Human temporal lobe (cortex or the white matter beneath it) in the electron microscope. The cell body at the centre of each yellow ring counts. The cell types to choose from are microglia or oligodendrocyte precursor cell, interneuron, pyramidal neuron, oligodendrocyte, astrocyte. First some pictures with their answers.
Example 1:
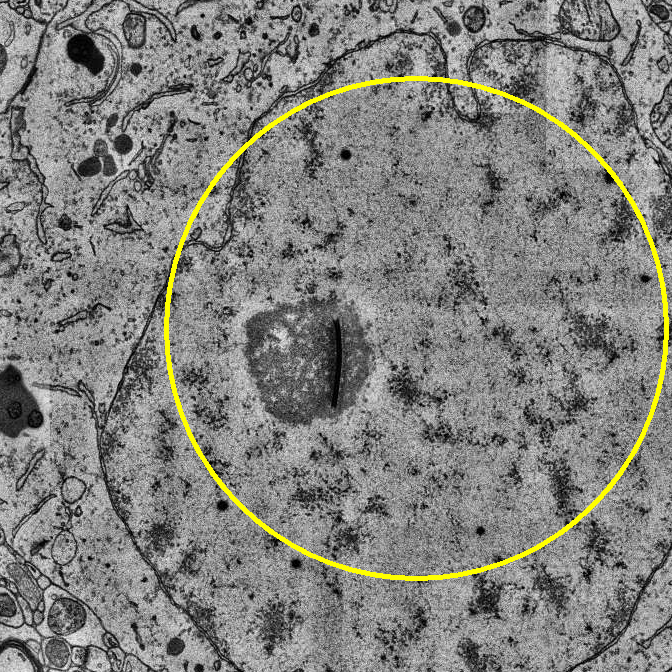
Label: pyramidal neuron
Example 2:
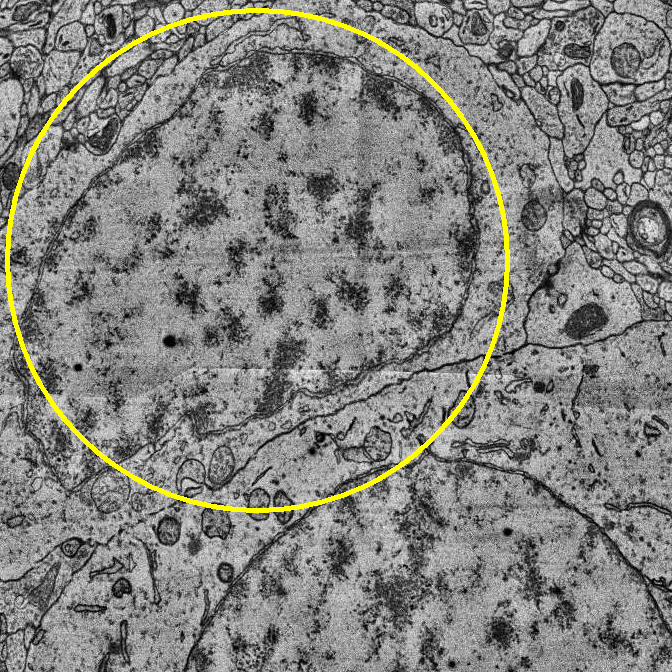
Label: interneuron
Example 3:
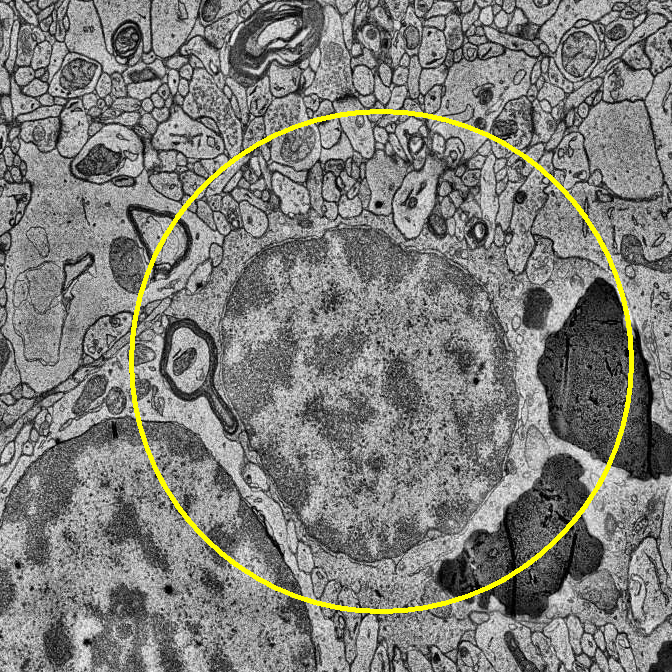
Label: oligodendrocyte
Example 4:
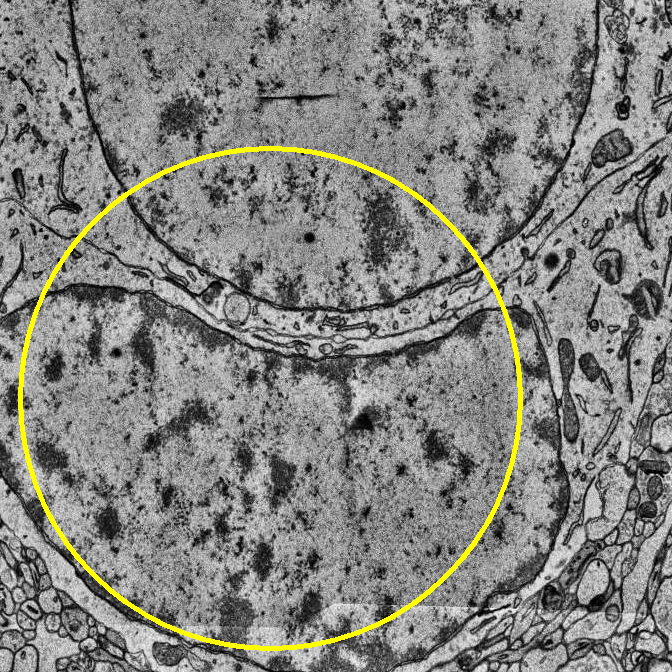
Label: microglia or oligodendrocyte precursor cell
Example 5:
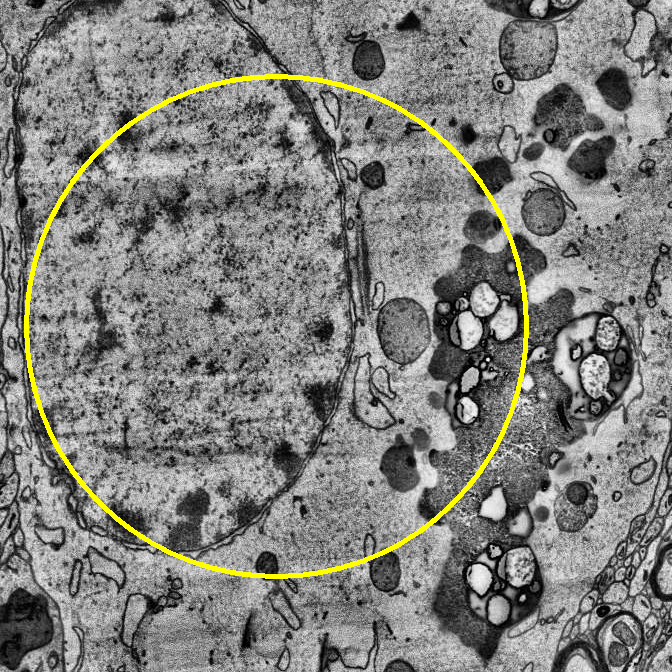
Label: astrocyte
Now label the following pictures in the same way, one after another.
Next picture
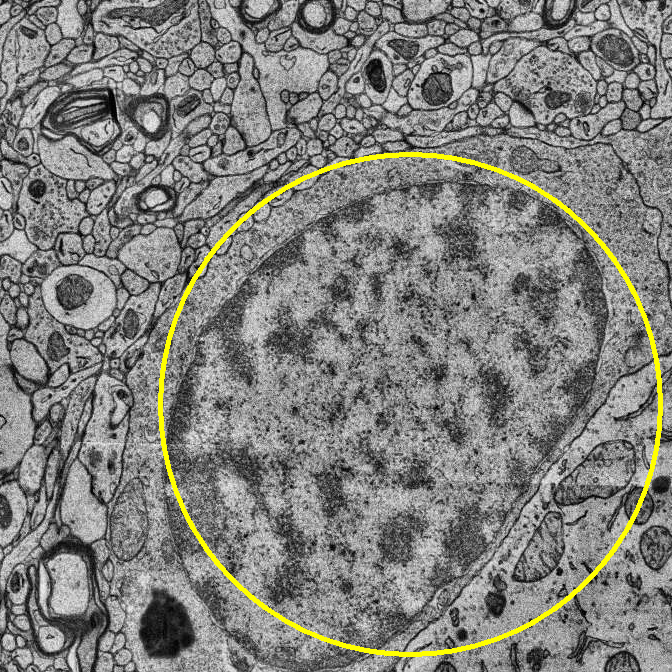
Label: oligodendrocyte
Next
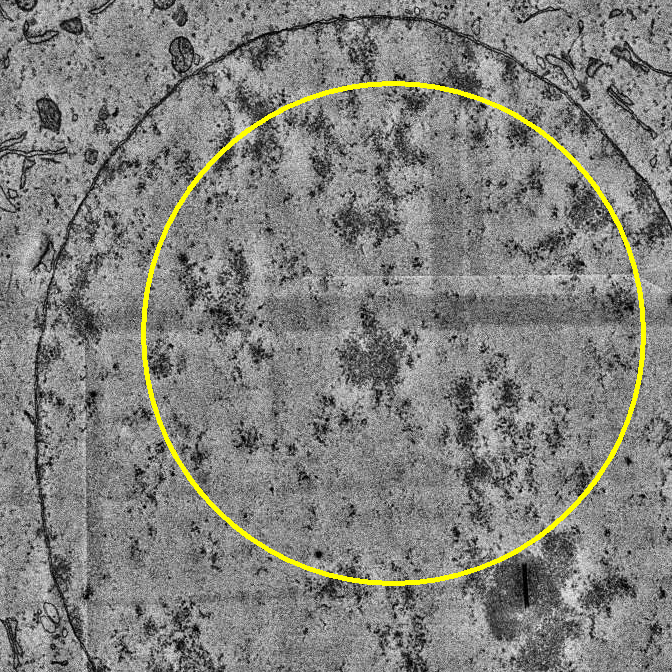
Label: pyramidal neuron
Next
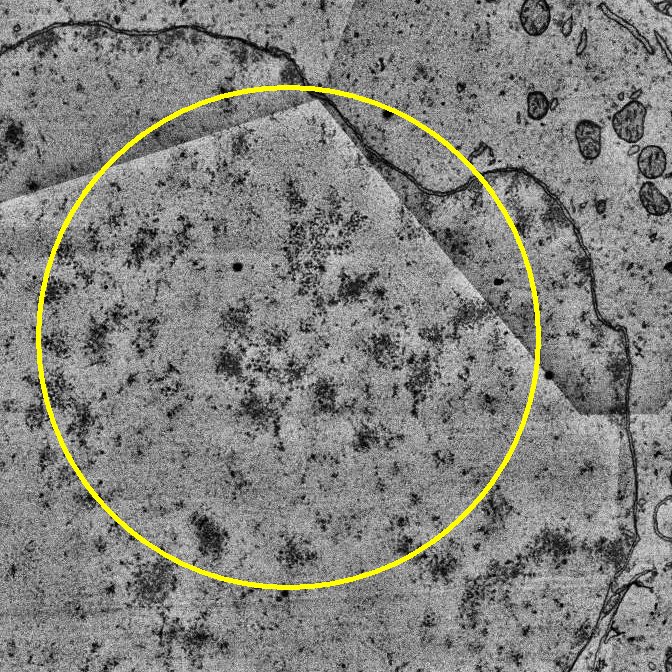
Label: pyramidal neuron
